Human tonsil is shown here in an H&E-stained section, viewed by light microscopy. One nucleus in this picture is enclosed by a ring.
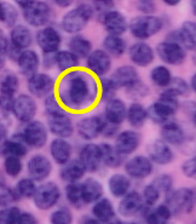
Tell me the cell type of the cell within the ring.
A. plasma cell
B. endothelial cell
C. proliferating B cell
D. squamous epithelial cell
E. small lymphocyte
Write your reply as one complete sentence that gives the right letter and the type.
Here the cell within the ring is a small lymphocyte; pick option E.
